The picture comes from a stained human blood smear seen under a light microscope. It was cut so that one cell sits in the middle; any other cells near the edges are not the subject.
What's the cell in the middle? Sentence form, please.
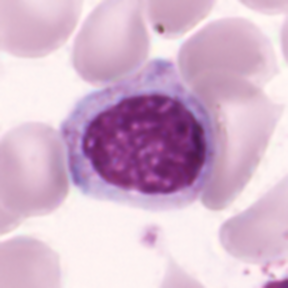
The centered cell in this crop is a metamyelocyte.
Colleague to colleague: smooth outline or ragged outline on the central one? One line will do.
Irregular rather than smooth, the cell margin shows ragged areas or projections.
